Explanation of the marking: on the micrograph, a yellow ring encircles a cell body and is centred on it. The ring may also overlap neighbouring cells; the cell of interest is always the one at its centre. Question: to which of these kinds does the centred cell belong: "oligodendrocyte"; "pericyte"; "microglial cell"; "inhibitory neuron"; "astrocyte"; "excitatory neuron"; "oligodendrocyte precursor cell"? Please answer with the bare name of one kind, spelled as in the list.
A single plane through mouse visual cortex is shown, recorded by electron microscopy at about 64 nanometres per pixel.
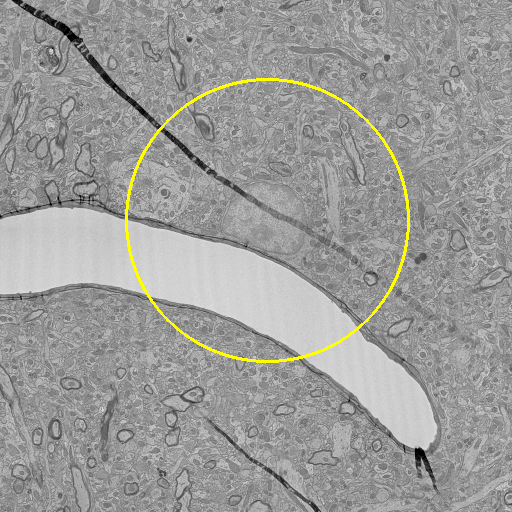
oligodendrocyte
